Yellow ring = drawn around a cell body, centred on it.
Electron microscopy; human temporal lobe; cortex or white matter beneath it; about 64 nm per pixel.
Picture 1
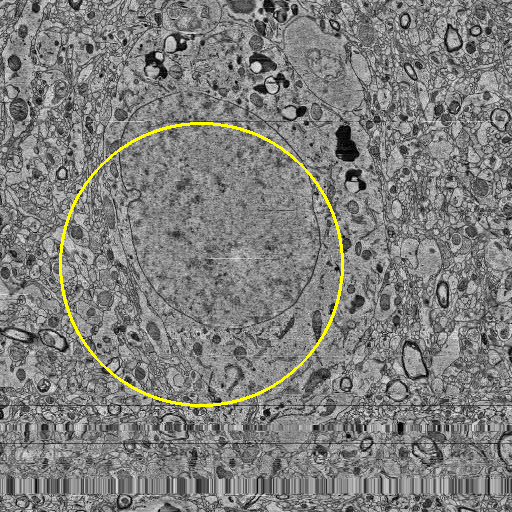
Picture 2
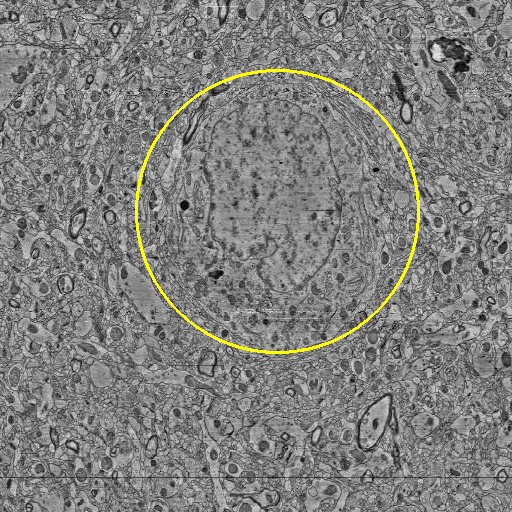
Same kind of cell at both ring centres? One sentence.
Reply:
No, they are two kinds of cell.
